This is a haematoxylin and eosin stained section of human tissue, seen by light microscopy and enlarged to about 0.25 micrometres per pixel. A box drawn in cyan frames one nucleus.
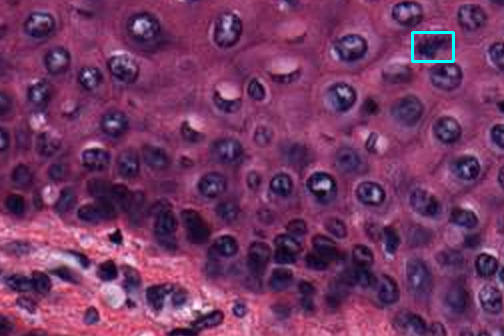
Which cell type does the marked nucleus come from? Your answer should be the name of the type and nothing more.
squamous epithelial cell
